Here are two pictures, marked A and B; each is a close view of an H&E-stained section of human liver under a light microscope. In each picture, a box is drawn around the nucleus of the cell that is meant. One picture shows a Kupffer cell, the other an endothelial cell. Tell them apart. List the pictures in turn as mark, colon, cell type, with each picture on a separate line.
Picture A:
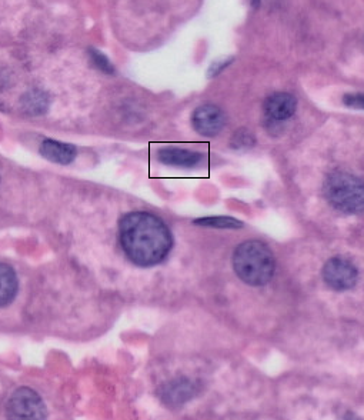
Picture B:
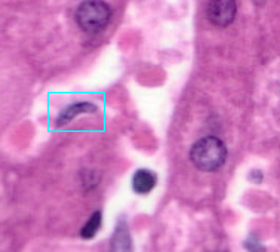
A: Kupffer cell
B: endothelial cell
